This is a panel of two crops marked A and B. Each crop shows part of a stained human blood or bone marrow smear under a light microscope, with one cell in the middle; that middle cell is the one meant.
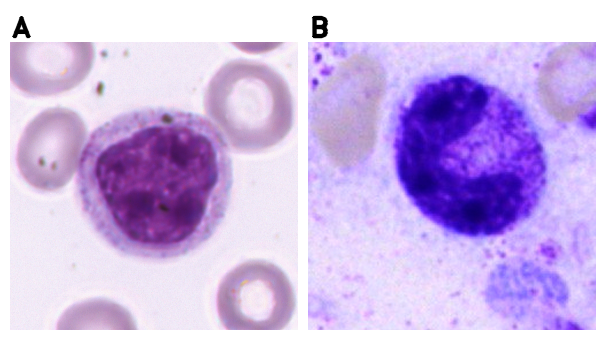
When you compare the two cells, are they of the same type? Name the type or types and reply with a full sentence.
No, a metamyelocyte is what occupies crop A, and a band neutrophil is what occupies crop B.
